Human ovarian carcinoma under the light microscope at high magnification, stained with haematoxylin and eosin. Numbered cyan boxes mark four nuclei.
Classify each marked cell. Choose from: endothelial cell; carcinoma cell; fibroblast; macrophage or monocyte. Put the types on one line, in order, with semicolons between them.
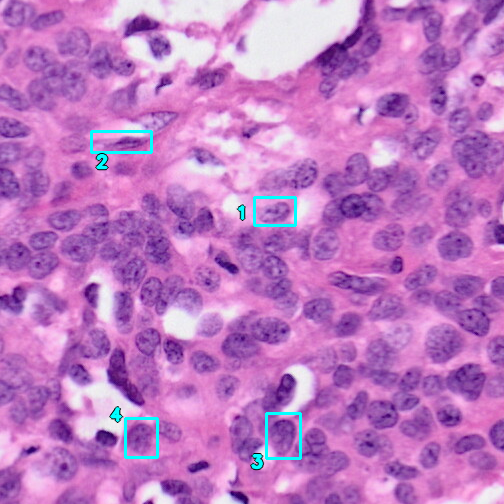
macrophage or monocyte; endothelial cell; carcinoma cell; carcinoma cell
